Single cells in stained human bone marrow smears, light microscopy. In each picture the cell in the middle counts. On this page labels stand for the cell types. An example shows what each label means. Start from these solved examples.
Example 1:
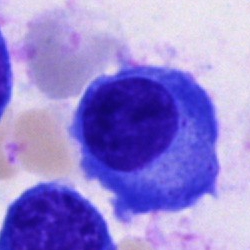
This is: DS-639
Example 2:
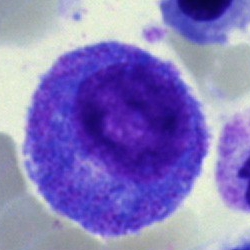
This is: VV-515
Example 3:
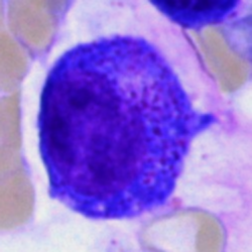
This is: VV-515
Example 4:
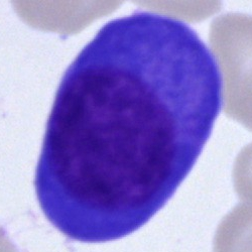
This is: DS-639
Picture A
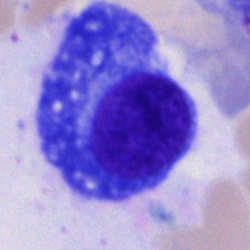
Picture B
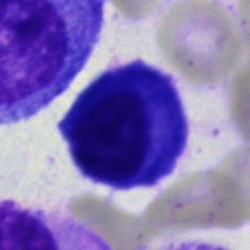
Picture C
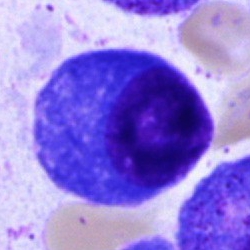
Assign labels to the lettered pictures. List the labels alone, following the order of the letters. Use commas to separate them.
DS-639, DS-639, DS-639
